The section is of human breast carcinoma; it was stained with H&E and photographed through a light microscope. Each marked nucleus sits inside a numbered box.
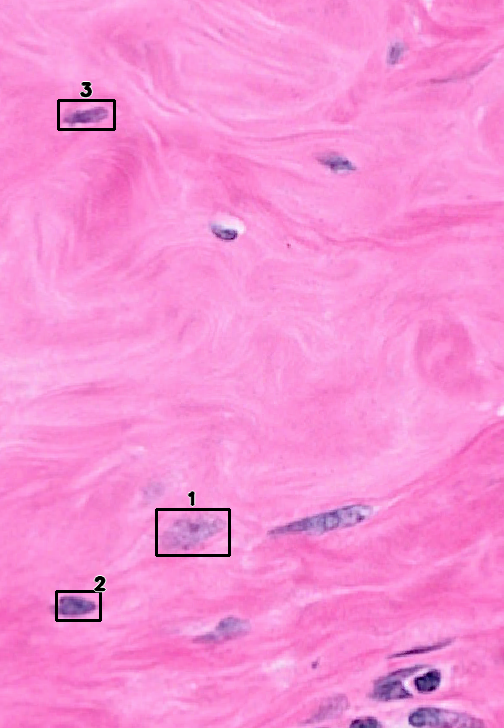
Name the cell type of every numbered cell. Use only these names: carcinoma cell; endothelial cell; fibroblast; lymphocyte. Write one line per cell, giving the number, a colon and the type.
1: fibroblast
2: lymphocyte
3: fibroblast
